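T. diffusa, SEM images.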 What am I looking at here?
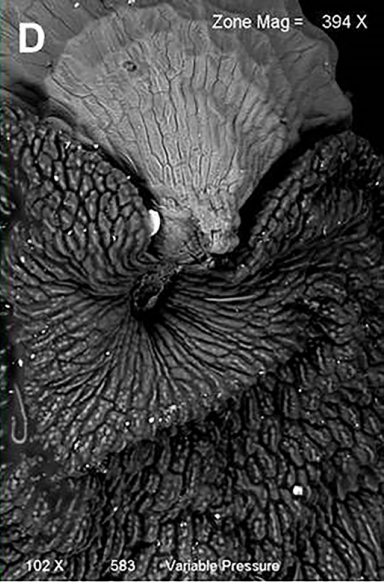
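Close view of the top of a seed bearing a pale, fan-shaped appendage built of elongated cells with longitudinally wrinkled surfaces, narrowing to a small attachment point. Beneath and around it the seed coat shows a dense reticulate pattern of wavy, ridged cell outlines that converge toward the attachment point.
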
